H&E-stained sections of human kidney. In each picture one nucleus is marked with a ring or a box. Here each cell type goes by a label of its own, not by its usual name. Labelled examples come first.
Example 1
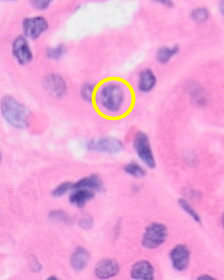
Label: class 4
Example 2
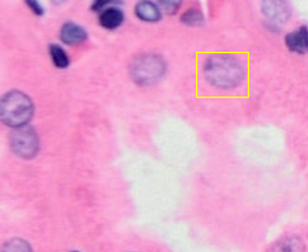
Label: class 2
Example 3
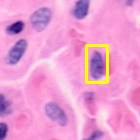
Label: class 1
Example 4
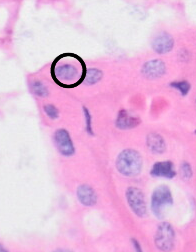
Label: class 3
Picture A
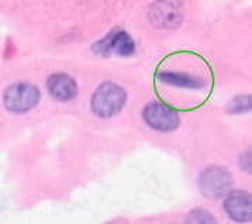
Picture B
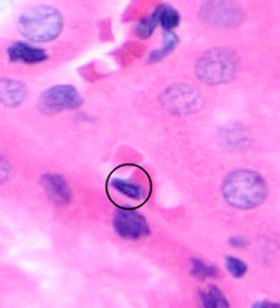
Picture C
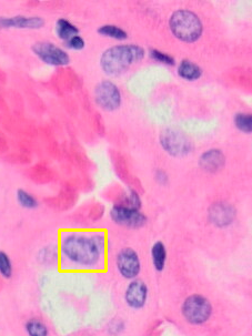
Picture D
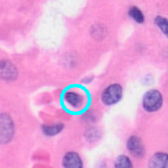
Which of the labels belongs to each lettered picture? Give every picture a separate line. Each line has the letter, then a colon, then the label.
A: class 1
B: class 1
C: class 4
D: class 1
